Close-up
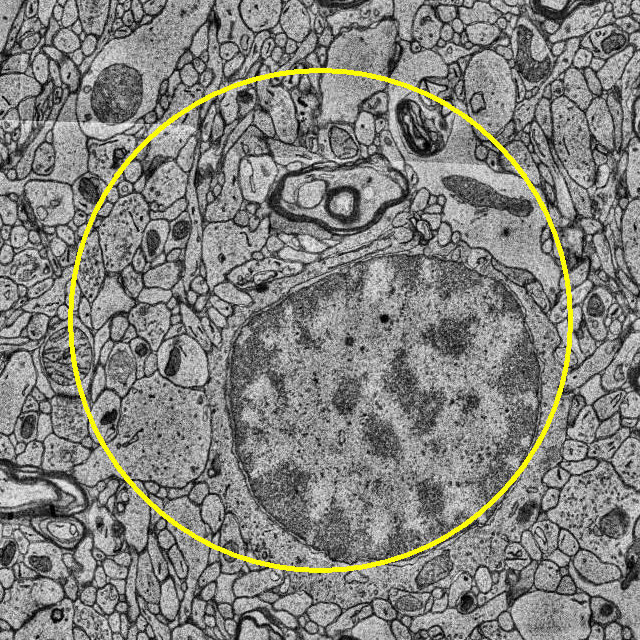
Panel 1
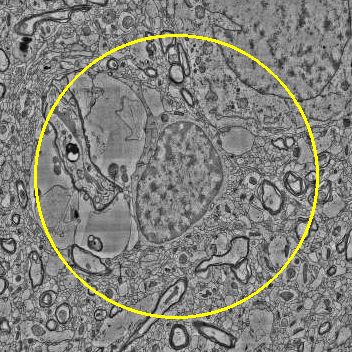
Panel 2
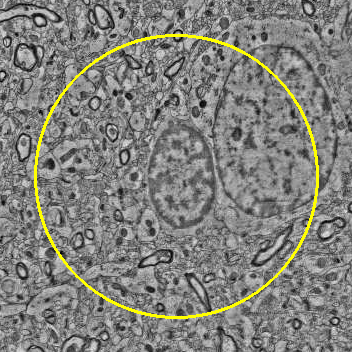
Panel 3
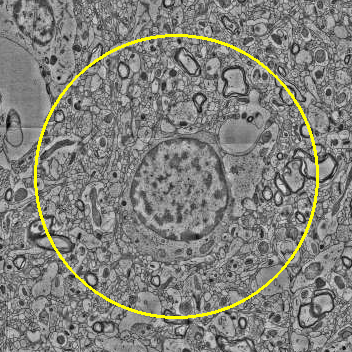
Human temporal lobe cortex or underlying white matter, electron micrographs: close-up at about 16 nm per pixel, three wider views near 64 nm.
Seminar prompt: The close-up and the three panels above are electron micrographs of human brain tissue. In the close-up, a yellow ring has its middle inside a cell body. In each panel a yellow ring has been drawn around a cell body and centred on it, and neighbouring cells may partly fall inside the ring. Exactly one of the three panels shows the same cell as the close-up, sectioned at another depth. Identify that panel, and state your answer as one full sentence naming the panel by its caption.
The cell that the close-up enlarges is ringed in Panel 3.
